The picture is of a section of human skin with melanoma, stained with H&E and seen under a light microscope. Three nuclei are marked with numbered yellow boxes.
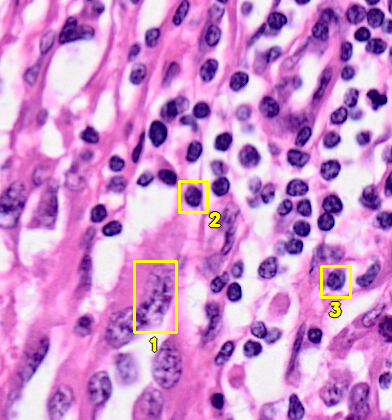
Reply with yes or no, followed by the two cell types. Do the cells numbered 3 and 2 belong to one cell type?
Yes, both are lymphocytes.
